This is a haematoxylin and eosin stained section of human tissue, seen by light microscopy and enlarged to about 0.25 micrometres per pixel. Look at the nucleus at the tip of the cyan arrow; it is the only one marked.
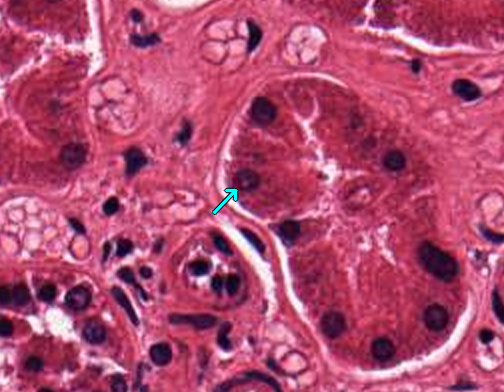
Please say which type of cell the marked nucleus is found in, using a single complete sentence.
The nucleus that has been marked belongs to a proximal tubule cell.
